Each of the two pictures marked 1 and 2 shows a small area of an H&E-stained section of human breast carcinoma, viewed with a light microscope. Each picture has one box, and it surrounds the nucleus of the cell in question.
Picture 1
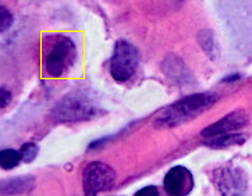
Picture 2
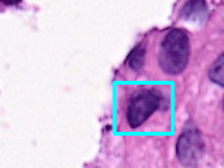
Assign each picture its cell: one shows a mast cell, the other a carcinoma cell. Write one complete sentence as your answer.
Picture 2 shows a carcinoma cell, while picture 1 shows a mast cell.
